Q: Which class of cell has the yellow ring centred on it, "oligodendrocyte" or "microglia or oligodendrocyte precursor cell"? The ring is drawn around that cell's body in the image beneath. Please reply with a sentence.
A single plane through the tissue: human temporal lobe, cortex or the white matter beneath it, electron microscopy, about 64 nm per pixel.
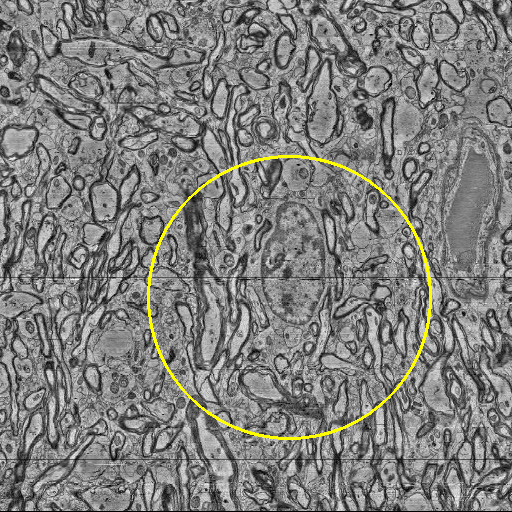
It is centred on an oligodendrocyte.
